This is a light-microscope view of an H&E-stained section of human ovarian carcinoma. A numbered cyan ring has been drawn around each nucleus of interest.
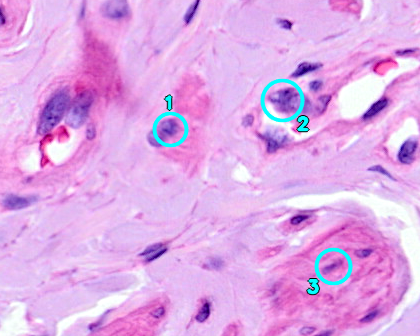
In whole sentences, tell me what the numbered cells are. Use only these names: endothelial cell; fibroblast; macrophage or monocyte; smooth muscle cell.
Cell 1 is a smooth muscle cell, cell 2 is an endothelial cell and cell 3 is a smooth muscle cell.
